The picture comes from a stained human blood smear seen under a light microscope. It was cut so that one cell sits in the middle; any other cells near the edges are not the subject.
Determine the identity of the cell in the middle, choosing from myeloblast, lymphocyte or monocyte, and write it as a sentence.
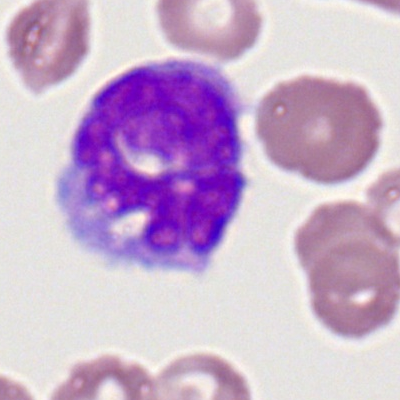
In the middle of this smear crop is a monocyte.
